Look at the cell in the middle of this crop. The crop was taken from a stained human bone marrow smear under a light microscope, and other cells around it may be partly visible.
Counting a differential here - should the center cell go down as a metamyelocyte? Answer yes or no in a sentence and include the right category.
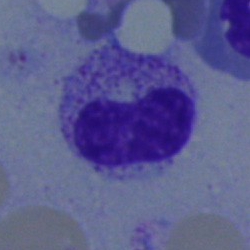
Yes, the cell shown at the crop's centre is a metamyelocyte.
